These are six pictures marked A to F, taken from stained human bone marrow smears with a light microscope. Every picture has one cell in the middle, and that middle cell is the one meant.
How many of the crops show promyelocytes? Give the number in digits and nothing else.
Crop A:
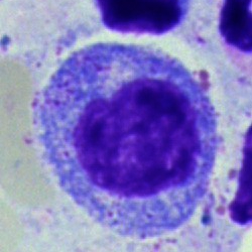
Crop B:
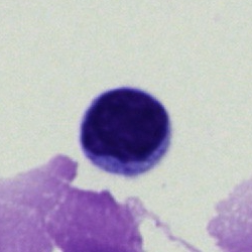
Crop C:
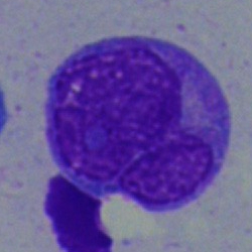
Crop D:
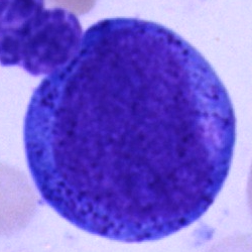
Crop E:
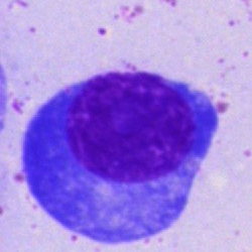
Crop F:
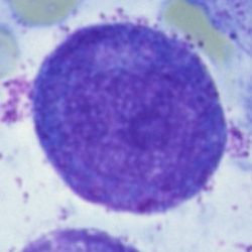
4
